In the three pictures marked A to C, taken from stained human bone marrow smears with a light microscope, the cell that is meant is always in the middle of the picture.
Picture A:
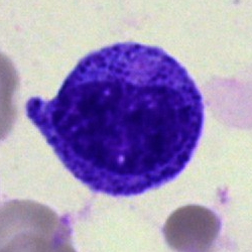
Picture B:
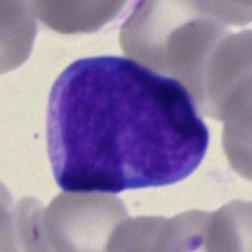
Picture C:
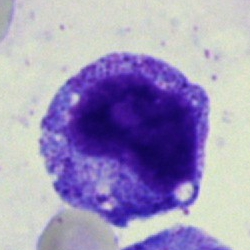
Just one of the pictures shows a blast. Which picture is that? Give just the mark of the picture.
B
